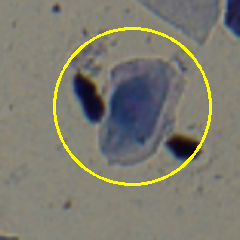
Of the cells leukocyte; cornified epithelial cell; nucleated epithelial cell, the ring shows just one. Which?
The ring shows a nucleated epithelial cell.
